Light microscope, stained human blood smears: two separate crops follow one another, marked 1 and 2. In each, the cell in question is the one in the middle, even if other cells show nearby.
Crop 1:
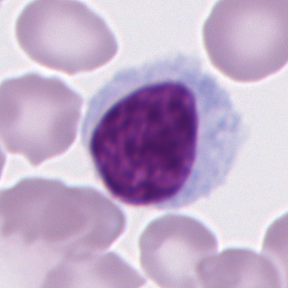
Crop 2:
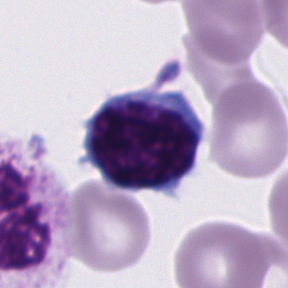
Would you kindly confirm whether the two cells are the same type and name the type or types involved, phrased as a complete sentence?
No, within crop 1 lies a hairy cell, and within crop 2 lies a typical lymphocyte.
